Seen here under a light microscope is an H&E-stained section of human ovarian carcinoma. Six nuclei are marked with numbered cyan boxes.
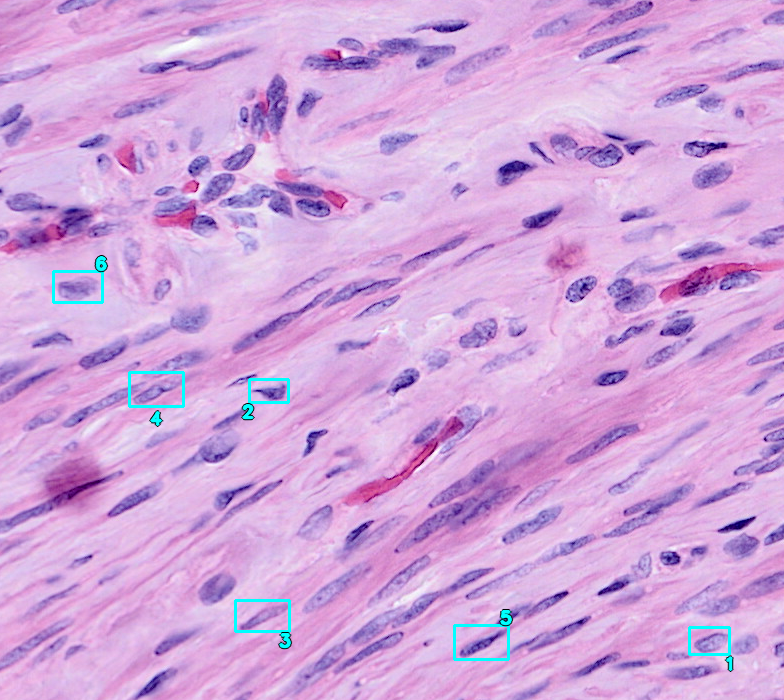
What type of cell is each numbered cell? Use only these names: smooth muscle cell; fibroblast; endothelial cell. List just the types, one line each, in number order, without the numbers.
smooth muscle cell
fibroblast
smooth muscle cell
smooth muscle cell
smooth muscle cell
fibroblast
